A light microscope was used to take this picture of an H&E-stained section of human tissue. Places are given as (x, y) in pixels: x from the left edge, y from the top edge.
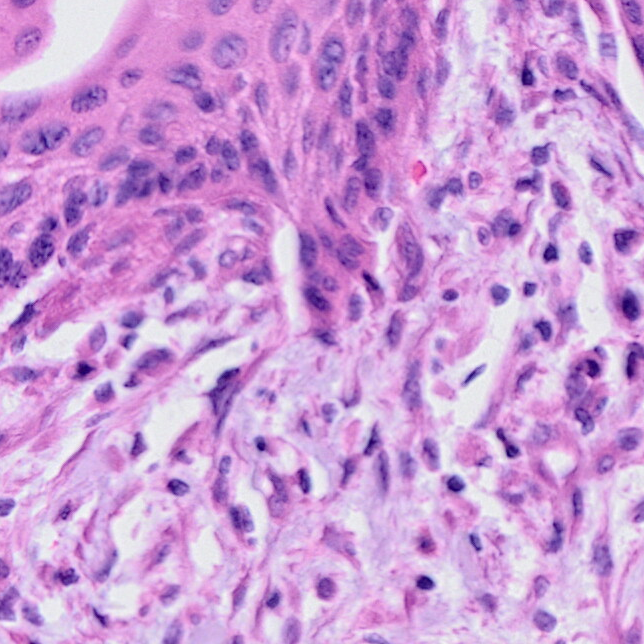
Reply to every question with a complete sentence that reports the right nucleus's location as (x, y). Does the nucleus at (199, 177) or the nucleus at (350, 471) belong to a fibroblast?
The nucleus that belongs to a fibroblast sits at (350, 471).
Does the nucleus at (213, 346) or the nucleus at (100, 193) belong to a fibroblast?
The nucleus at (213, 346) is the one of the two that belongs to a fibroblast.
